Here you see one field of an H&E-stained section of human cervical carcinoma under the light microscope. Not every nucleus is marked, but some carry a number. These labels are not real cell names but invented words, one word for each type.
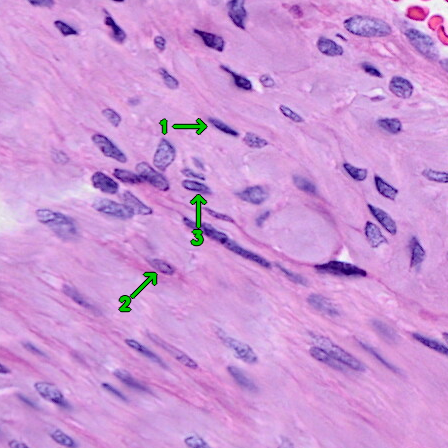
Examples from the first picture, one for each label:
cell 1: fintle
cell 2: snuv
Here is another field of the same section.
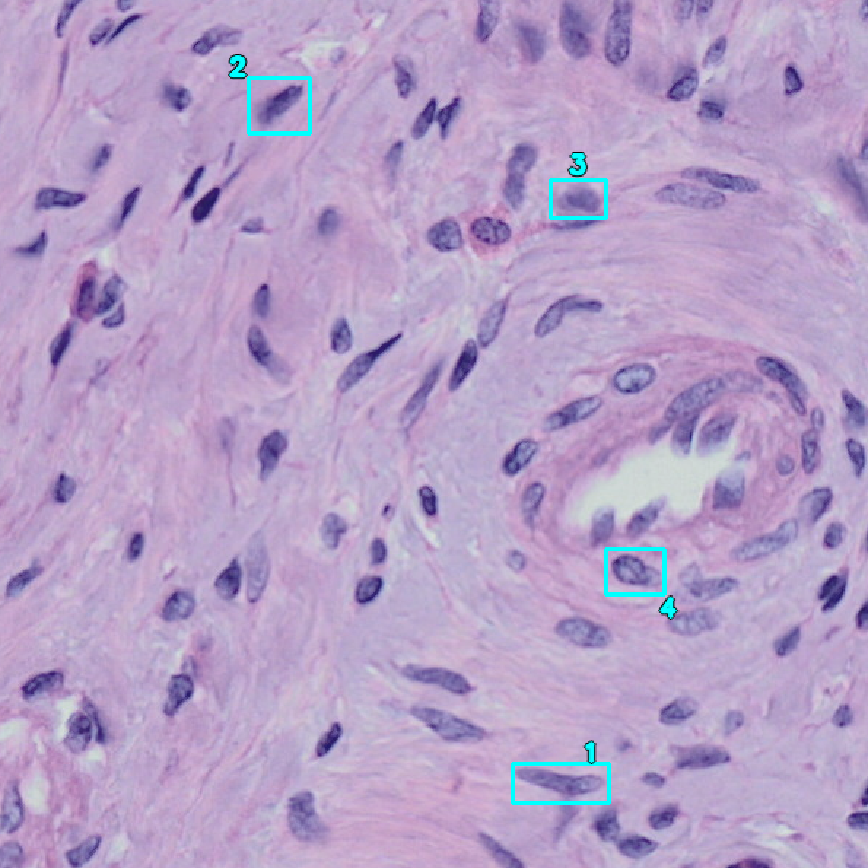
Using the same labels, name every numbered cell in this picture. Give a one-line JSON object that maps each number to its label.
{"1": "fintle", "2": "fintle", "3": "fintle", "4": "snuv"}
